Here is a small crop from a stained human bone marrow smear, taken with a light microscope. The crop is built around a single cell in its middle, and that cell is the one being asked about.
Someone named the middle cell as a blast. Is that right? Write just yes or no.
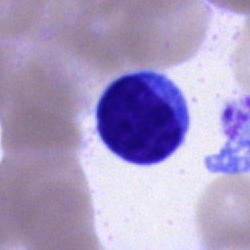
no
